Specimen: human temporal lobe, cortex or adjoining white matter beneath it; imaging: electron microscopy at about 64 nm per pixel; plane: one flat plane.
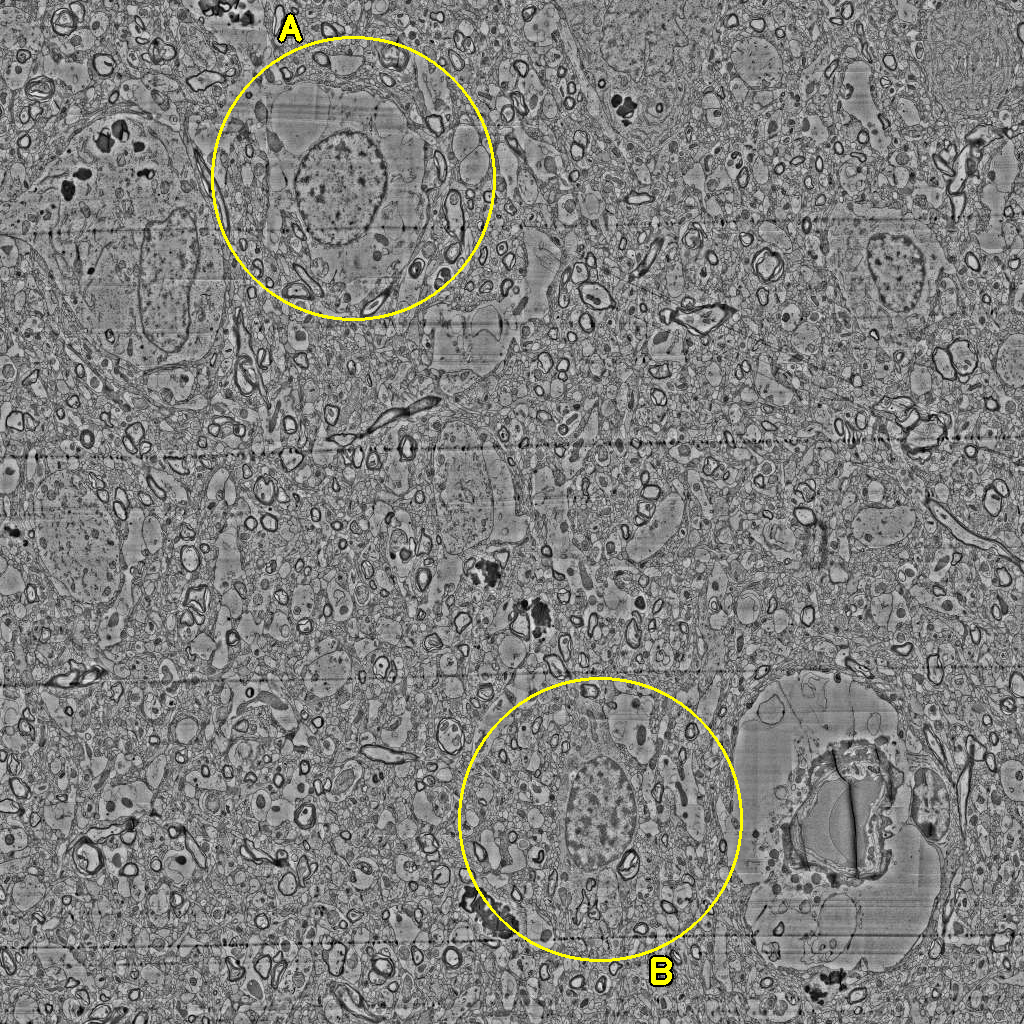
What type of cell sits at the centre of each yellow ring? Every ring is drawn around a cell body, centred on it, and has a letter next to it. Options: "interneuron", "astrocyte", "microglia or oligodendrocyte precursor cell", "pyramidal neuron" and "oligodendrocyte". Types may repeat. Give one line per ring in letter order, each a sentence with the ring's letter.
Ring A has an astrocyte at its centre.
Ring B has an oligodendrocyte at its centre.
